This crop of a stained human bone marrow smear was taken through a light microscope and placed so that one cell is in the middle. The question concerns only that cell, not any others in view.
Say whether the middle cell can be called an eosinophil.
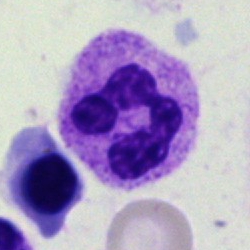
no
